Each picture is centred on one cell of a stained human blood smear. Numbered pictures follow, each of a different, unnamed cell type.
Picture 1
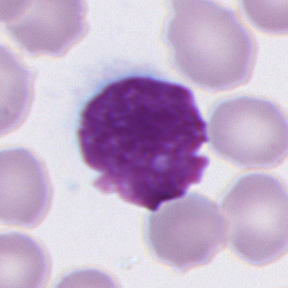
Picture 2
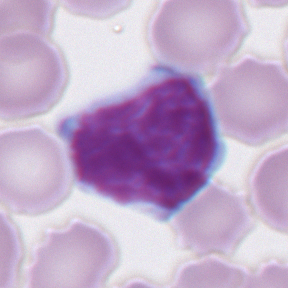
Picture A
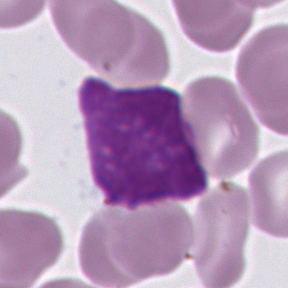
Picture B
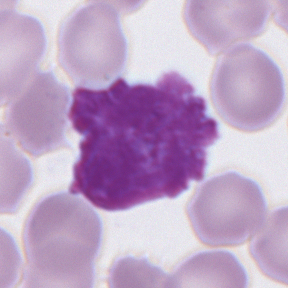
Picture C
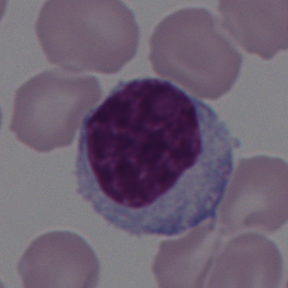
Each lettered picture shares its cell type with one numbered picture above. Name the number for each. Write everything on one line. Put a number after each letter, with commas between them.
A 1, B 1, C 2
